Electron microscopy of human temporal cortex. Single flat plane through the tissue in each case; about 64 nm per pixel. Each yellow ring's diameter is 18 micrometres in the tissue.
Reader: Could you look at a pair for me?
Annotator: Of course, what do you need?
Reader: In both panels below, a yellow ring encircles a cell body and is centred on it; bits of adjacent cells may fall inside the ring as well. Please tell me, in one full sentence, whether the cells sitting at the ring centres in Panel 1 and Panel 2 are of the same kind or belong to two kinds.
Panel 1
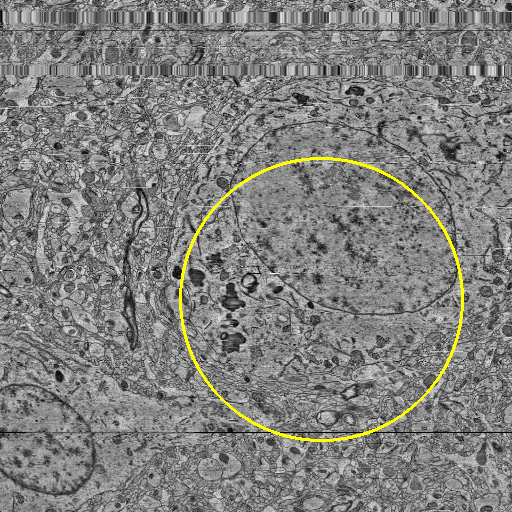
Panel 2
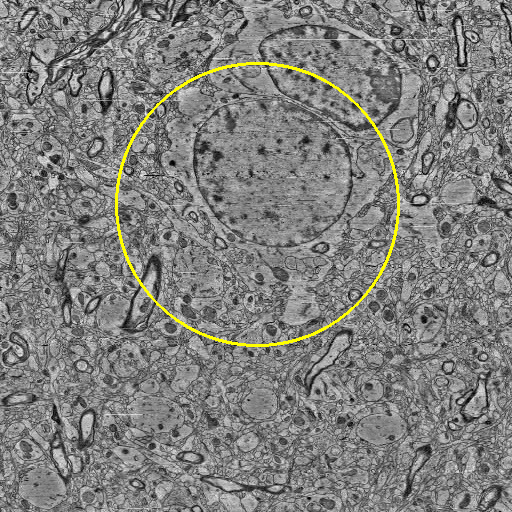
The cell at the ring's centre in Panel 1 and the one in Panel 2 belong to two kinds.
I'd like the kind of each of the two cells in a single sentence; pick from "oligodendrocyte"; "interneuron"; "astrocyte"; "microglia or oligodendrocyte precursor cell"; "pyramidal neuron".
The first ring marks a pyramidal neuron, and the second ring marks an astrocyte.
